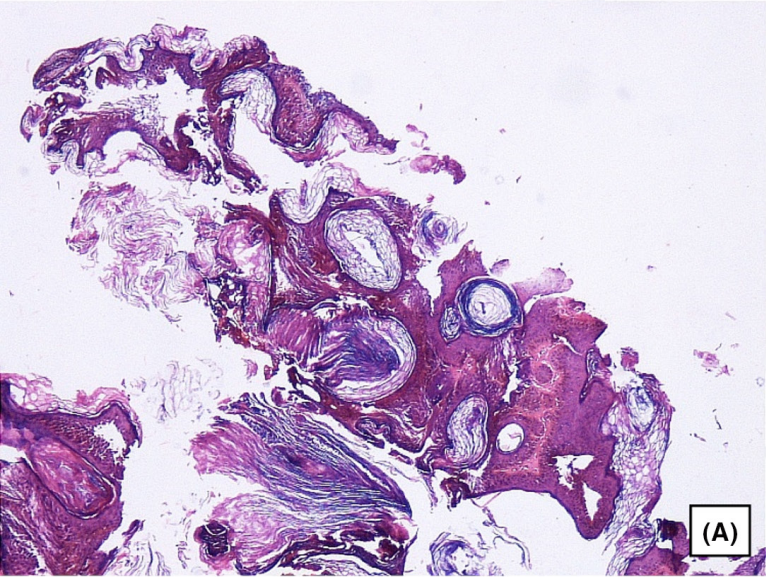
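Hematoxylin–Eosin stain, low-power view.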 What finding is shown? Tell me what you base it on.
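Hyperkeratosis. Abundant layered, loose keratin lies over and within the epithelium.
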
